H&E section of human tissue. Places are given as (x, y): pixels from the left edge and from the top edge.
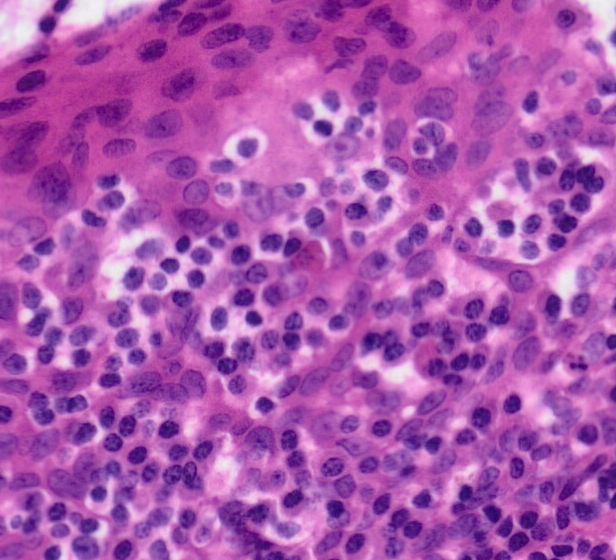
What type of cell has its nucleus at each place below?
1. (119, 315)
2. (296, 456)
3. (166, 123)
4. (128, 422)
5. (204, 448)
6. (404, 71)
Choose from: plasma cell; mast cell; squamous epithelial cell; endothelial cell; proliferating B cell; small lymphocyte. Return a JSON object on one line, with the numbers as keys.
{"1": "plasma cell", "2": "plasma cell", "3": "squamous epithelial cell", "4": "plasma cell", "5": "plasma cell", "6": "squamous epithelial cell"}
